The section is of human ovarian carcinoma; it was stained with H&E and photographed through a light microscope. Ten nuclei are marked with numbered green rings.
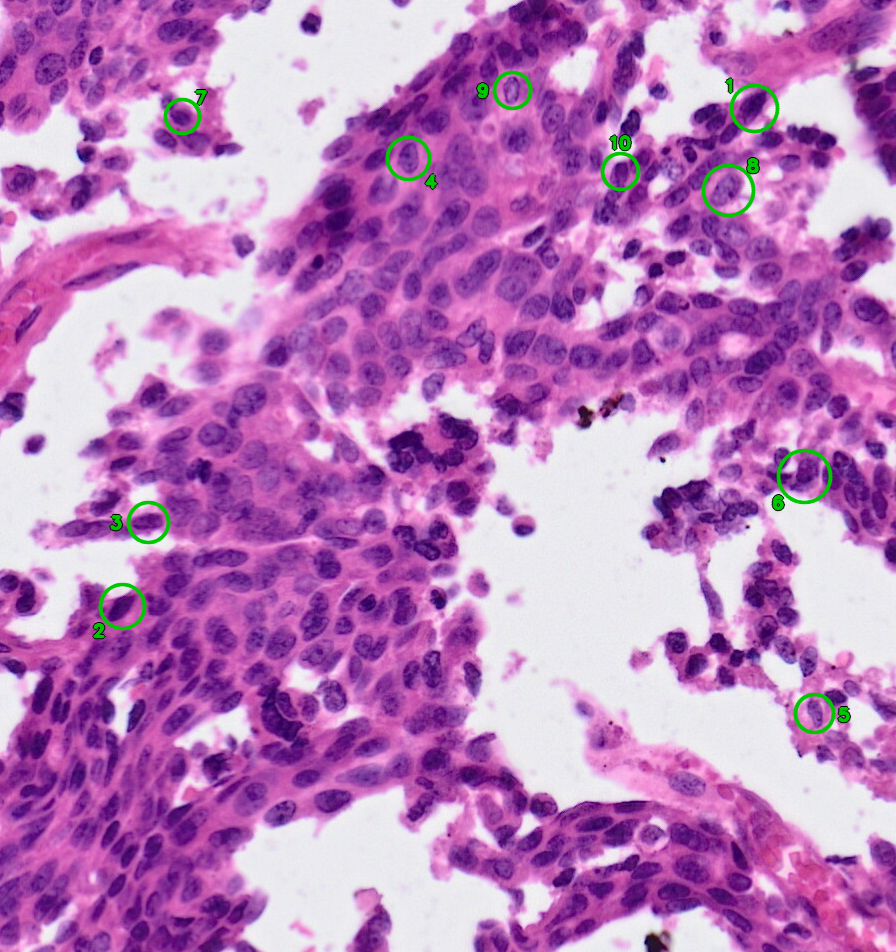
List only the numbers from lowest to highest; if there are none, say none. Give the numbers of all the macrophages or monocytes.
4, 5, 8, 9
